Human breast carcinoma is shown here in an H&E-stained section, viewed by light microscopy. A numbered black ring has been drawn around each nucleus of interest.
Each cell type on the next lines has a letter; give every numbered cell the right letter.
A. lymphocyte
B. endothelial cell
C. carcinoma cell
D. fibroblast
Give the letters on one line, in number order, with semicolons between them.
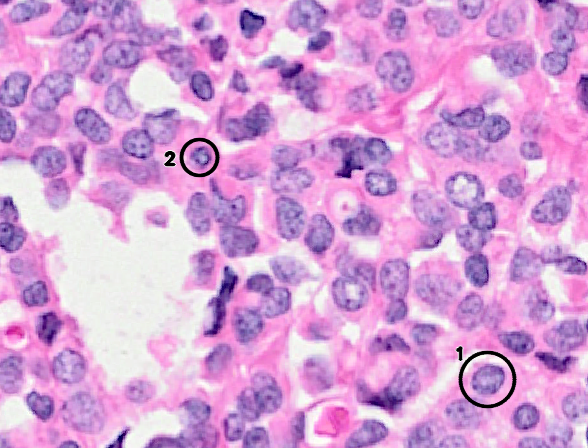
C; B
